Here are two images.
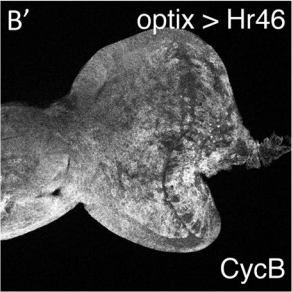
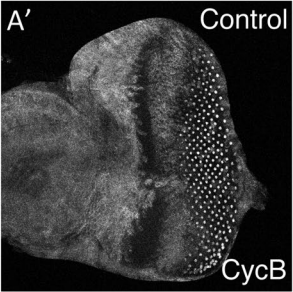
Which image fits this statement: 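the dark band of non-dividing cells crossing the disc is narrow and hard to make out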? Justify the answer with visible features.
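The first image. First image: no broad dark band is evident; labelled cells fill most of the disc. Second image: a wide dark vertical band lacking signal separates anterior and posterior regions.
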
